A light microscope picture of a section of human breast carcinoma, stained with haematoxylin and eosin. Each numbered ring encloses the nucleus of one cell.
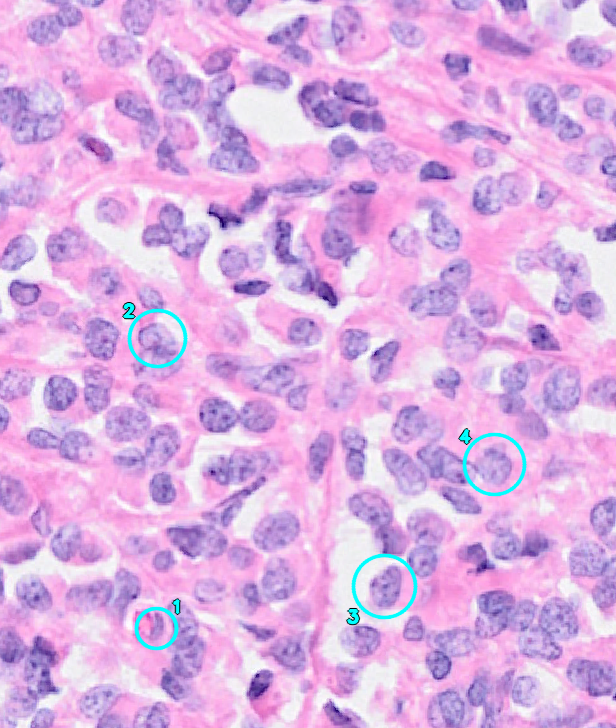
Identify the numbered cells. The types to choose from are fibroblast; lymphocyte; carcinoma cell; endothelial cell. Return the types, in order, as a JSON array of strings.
["endothelial cell", "carcinoma cell", "carcinoma cell", "carcinoma cell"]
